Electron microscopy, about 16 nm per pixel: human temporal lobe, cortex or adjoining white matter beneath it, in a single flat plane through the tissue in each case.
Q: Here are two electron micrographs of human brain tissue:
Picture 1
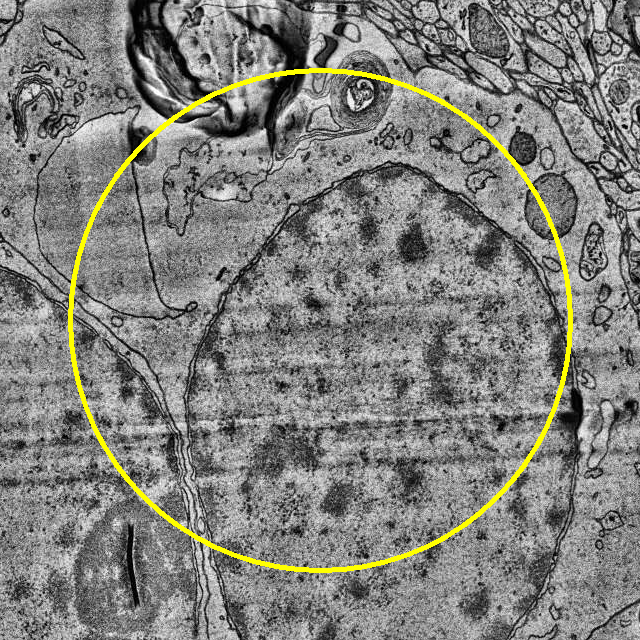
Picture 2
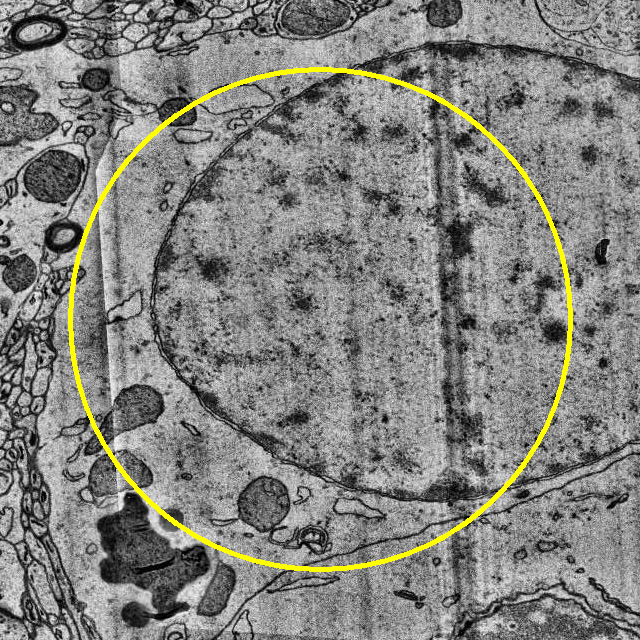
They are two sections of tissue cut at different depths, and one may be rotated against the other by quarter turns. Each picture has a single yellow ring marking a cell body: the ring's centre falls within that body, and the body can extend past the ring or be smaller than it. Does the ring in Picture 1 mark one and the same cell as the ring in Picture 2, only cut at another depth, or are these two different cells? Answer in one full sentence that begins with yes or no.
Yes, these two rings point to one cell rather than two.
